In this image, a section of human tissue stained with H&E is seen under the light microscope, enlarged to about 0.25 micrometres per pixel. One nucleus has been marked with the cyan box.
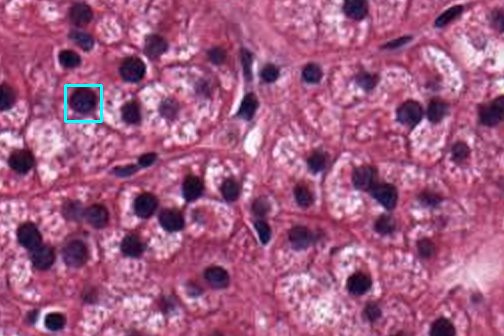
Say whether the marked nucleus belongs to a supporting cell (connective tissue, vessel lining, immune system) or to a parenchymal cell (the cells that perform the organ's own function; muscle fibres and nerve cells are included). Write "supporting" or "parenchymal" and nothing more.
parenchymal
